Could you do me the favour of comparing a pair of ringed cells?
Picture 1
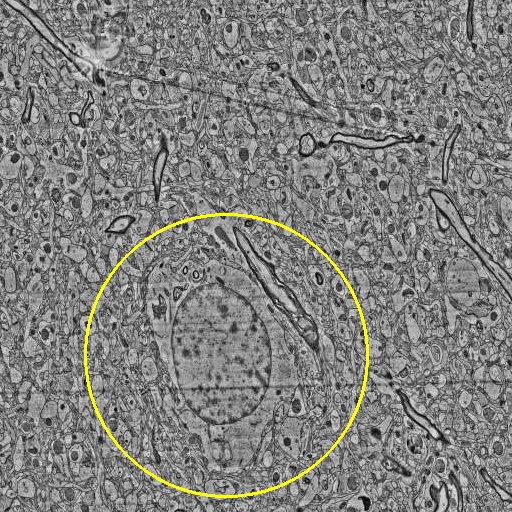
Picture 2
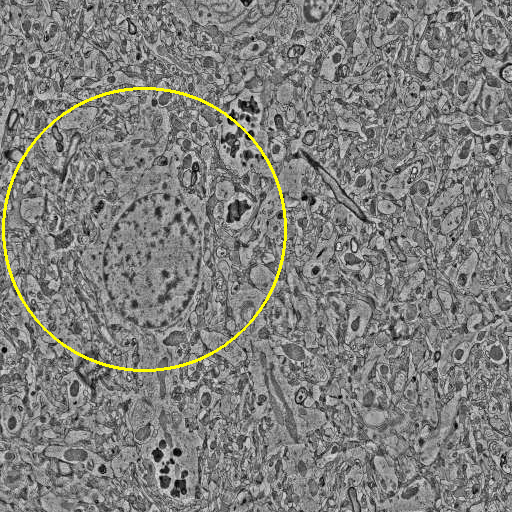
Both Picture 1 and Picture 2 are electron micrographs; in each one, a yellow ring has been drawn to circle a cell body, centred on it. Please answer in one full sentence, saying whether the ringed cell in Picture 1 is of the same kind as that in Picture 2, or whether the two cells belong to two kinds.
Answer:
The ringed cell in Picture 1 is of the same kind as that in Picture 2.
